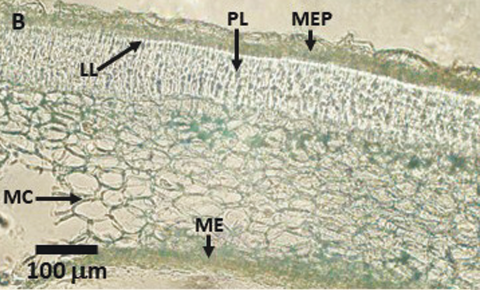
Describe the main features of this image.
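This is a seed coat, with an outer palisade layer of tightly packed, radially elongated cells crossed near its outer edge by a bright light line. Beneath the palisade lies a broad mesophyll cell layer of large, thin-walled, polygonal cells with clear lumens, and a flattened, crushed cell layer borders it on the inner side and on the outer surface.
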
